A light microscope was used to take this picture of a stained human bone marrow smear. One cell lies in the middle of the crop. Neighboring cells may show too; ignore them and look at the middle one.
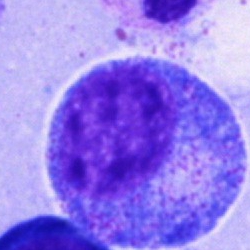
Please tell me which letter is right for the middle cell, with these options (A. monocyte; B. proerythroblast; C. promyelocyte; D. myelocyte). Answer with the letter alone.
C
